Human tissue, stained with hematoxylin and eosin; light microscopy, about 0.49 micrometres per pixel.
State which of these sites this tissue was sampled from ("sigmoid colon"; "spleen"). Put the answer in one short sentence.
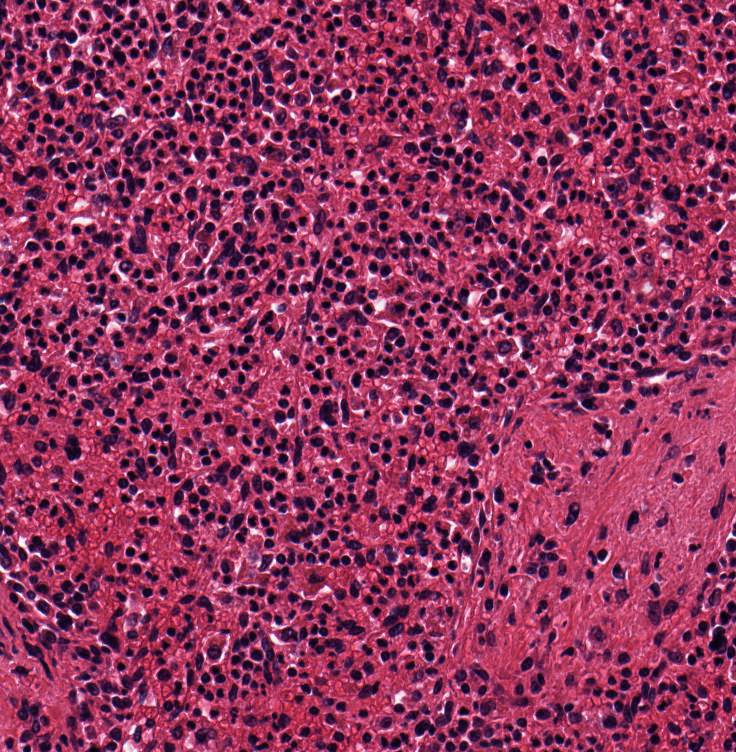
The site this tissue was sampled from is the spleen.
